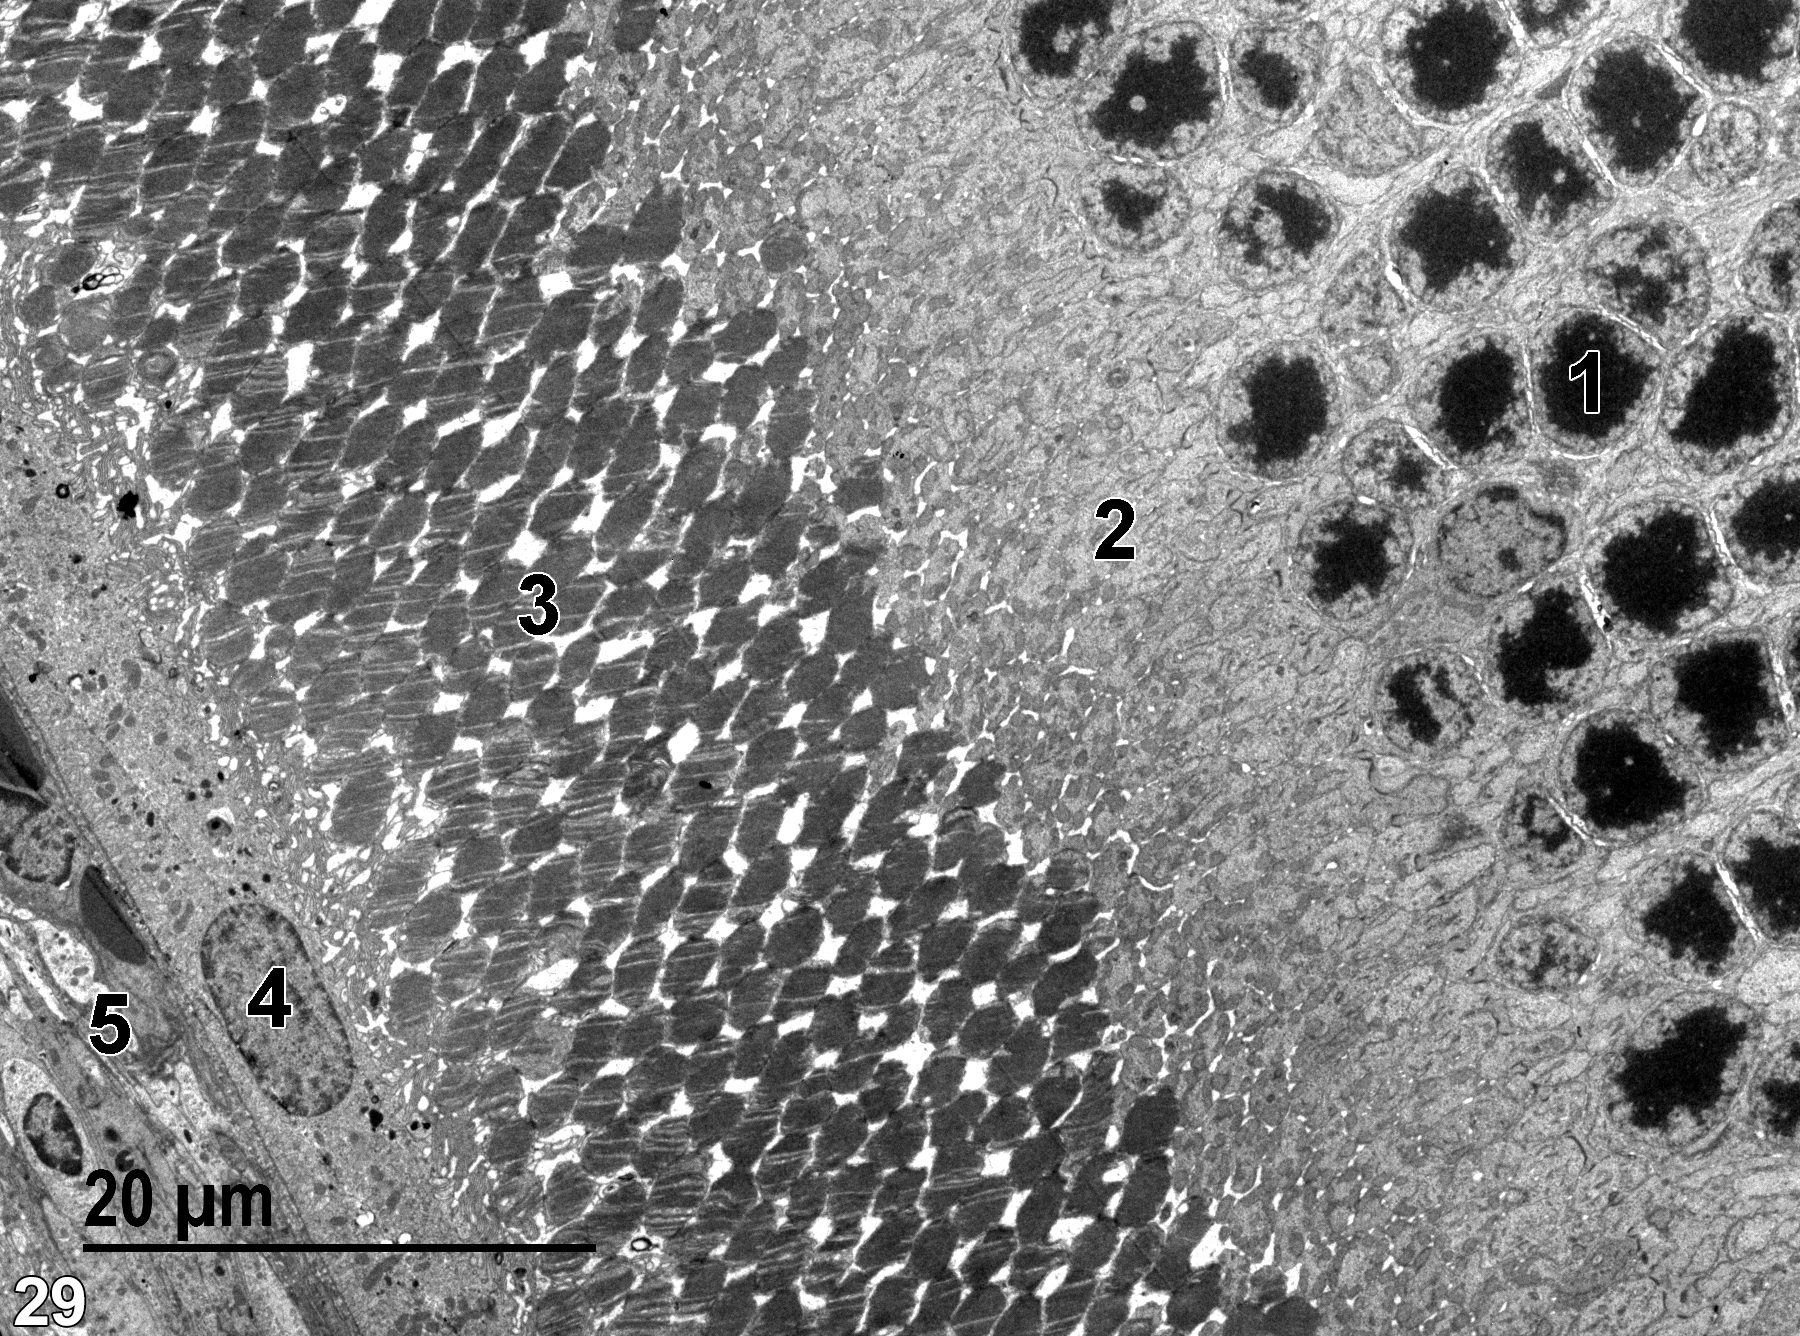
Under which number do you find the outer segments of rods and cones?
3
